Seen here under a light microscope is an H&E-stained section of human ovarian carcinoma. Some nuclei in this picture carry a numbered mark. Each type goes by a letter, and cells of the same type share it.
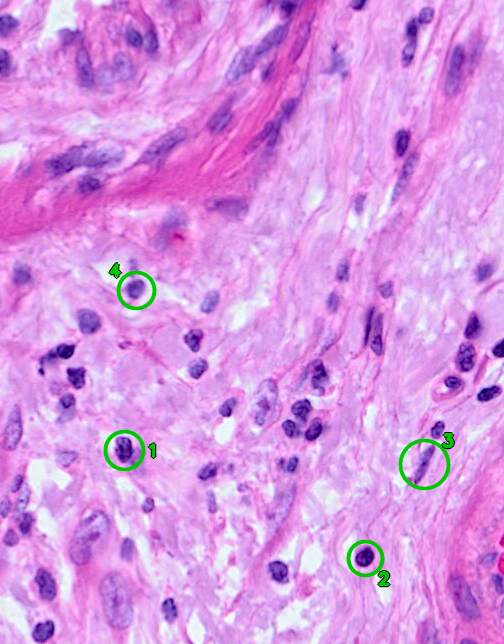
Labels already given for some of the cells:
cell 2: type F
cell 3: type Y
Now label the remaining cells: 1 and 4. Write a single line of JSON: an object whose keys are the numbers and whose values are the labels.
{"1": "type F", "4": "type F"}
